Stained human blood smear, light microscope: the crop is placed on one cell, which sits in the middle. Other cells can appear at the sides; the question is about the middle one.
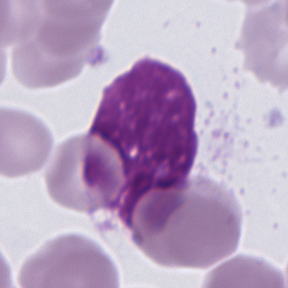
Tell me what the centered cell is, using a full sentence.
The target cell in the middle of the crop is a smudge cell.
